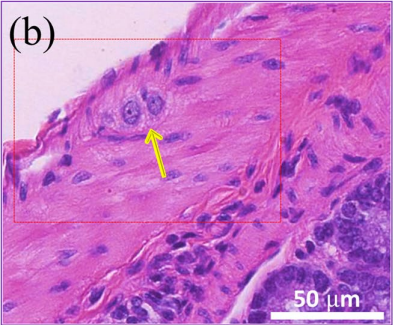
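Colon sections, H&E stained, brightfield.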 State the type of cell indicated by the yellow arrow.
ganglion cells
